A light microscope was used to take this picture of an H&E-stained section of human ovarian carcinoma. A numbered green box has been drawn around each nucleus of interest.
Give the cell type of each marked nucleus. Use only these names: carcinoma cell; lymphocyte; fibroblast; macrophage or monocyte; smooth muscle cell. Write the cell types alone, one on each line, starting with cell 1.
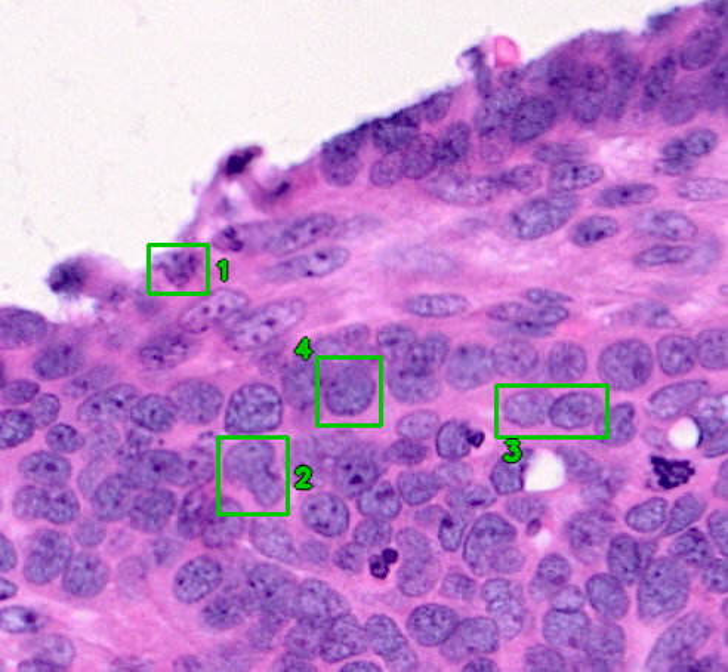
macrophage or monocyte
carcinoma cell
carcinoma cell
carcinoma cell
